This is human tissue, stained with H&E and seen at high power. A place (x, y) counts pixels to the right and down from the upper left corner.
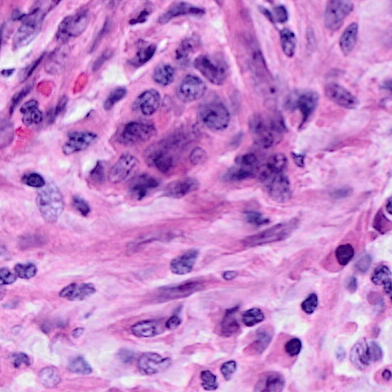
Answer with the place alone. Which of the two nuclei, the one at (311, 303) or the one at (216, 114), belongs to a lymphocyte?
(311, 303)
